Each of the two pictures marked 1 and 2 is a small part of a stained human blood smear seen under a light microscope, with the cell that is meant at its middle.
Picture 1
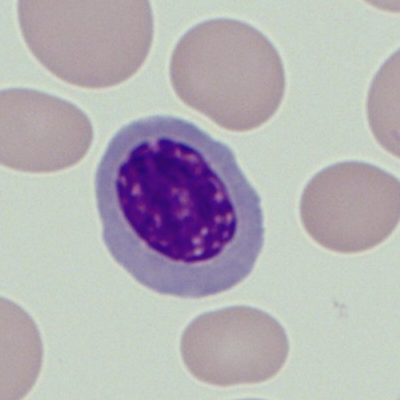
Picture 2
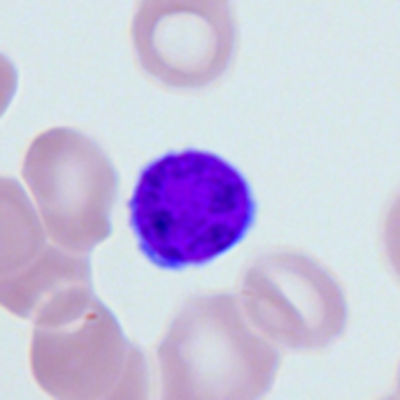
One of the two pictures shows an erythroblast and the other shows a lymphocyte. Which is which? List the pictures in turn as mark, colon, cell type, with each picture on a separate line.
1: erythroblast
2: lymphocyte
